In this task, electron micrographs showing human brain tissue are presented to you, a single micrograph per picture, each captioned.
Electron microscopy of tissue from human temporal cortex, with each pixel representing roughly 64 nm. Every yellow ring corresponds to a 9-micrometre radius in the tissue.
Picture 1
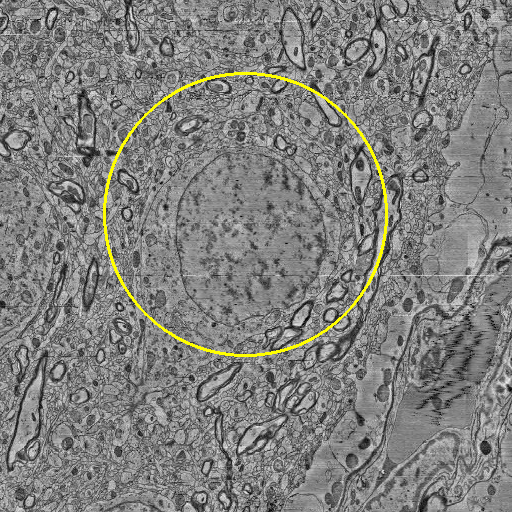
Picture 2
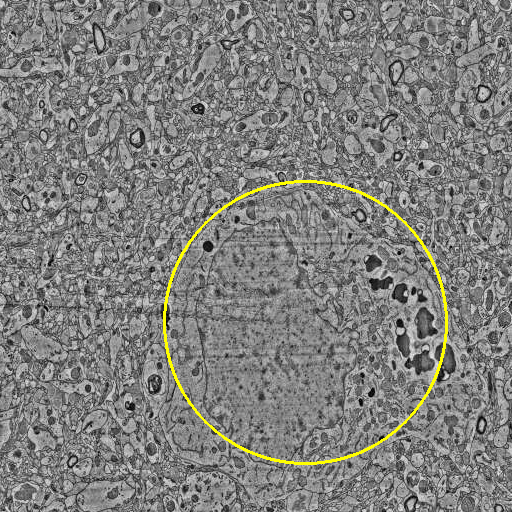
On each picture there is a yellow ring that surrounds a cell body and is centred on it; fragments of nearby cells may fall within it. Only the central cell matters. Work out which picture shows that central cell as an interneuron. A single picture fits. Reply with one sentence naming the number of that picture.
Of all the pictures, number 2 has the right cell in the centre of its ring.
